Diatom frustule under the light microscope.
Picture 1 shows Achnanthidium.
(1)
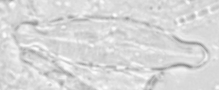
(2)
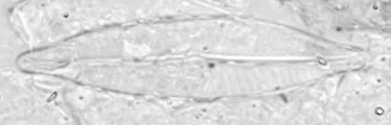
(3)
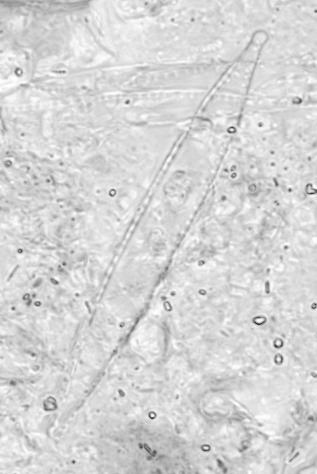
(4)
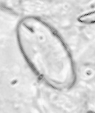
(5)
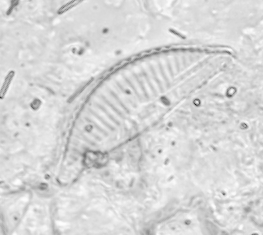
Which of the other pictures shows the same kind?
Picture 4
